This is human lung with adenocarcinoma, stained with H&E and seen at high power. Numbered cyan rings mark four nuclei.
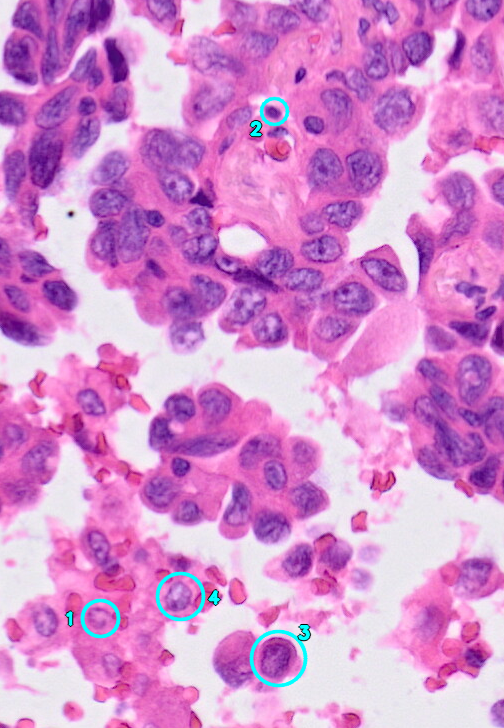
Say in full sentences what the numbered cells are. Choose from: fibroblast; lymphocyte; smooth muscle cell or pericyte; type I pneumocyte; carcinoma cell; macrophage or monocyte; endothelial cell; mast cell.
Cells 1 and 4 are macrophages or monocytes. Cell 2 is a lymphocyte. Cell 3 is a carcinoma cell.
